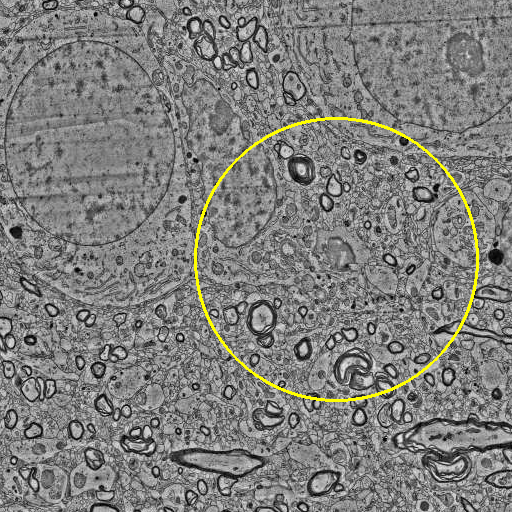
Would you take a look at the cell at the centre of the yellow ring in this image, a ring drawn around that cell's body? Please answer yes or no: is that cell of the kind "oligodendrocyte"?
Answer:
yes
